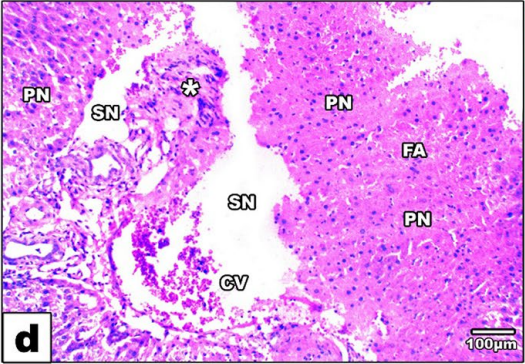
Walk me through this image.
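This is damaged liver tissue, with hepatocytes around a disrupted central vein. On the left, large irregular empty spaces break up the tissue, and one of them contains red blood cells and debris where the vein wall has lost its shape. A strand of connective tissue there is crowded with small dark nuclei, an infiltrate of cells.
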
